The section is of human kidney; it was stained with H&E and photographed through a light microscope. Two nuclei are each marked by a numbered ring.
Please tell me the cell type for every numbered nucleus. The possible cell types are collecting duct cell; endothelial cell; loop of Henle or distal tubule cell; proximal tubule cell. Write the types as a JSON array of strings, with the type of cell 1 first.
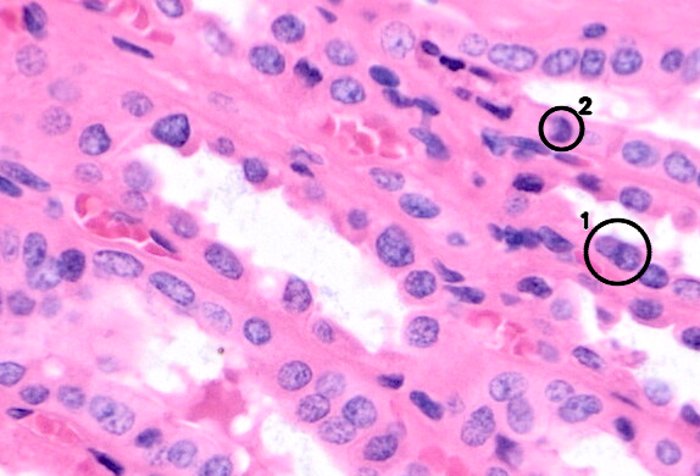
["loop of Henle or distal tubule cell", "collecting duct cell"]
